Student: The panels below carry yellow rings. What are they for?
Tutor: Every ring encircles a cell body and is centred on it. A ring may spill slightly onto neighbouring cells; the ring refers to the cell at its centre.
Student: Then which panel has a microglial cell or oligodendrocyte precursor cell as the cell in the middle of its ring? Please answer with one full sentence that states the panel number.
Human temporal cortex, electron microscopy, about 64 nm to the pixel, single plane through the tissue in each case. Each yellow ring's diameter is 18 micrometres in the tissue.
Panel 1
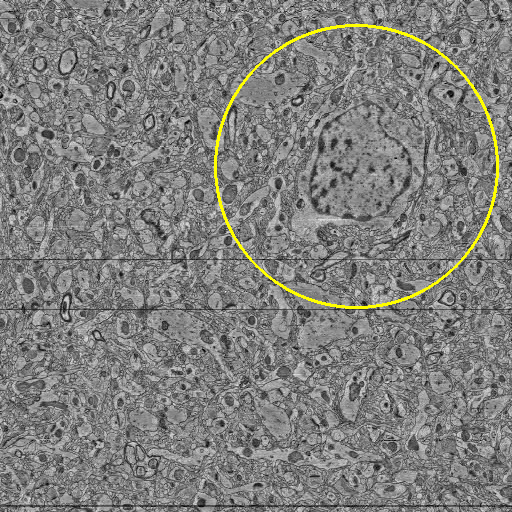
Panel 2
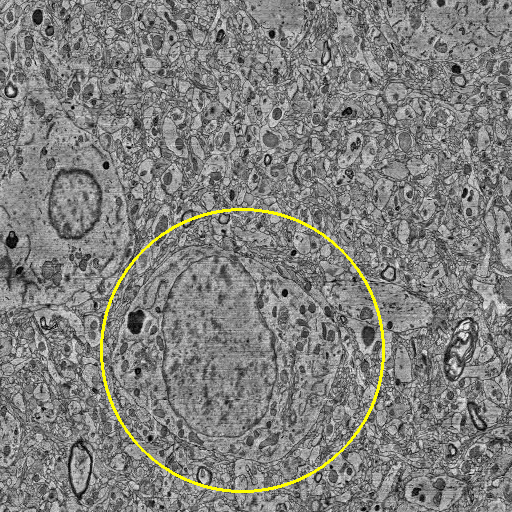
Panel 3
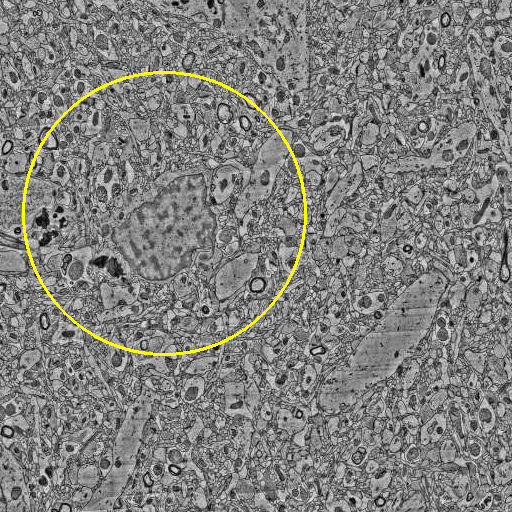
In Panel 1, the cell centred in the ring is the one sought.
